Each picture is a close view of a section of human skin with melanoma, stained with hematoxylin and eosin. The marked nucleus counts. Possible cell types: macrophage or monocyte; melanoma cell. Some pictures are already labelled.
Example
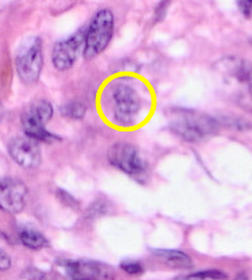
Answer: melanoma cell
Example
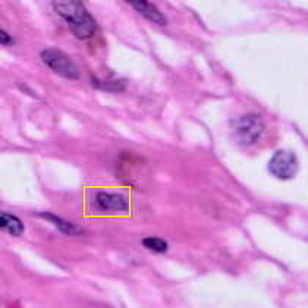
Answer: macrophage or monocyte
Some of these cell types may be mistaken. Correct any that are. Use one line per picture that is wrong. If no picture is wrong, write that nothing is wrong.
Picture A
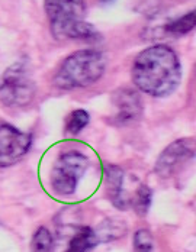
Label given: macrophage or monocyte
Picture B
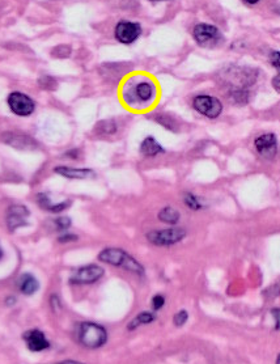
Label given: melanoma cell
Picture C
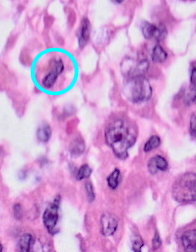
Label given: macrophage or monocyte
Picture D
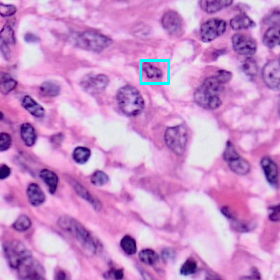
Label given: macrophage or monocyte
A is labelled macrophage or monocyte; correct label: melanoma cell
B is labelled melanoma cell; correct label: macrophage or monocyte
